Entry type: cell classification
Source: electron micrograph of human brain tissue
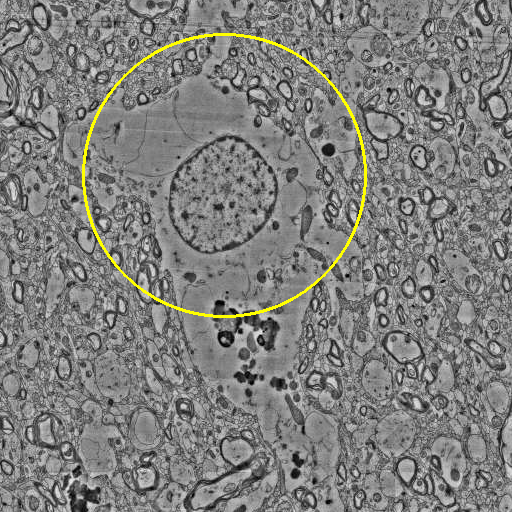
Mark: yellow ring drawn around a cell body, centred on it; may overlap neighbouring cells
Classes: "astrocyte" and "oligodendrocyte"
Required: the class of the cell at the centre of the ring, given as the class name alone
astrocyte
